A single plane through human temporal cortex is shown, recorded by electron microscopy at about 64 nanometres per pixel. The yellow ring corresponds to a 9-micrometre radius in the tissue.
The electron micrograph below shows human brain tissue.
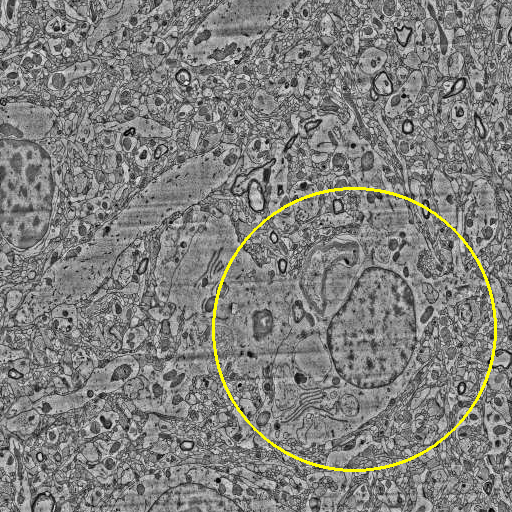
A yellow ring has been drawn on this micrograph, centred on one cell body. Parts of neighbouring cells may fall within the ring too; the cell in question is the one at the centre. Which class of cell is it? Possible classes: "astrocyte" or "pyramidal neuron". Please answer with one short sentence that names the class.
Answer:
In the centre of the ring sits an astrocyte.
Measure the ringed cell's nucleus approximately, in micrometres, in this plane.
About 8 by 6 micrometers for the nucleus, in this plane.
